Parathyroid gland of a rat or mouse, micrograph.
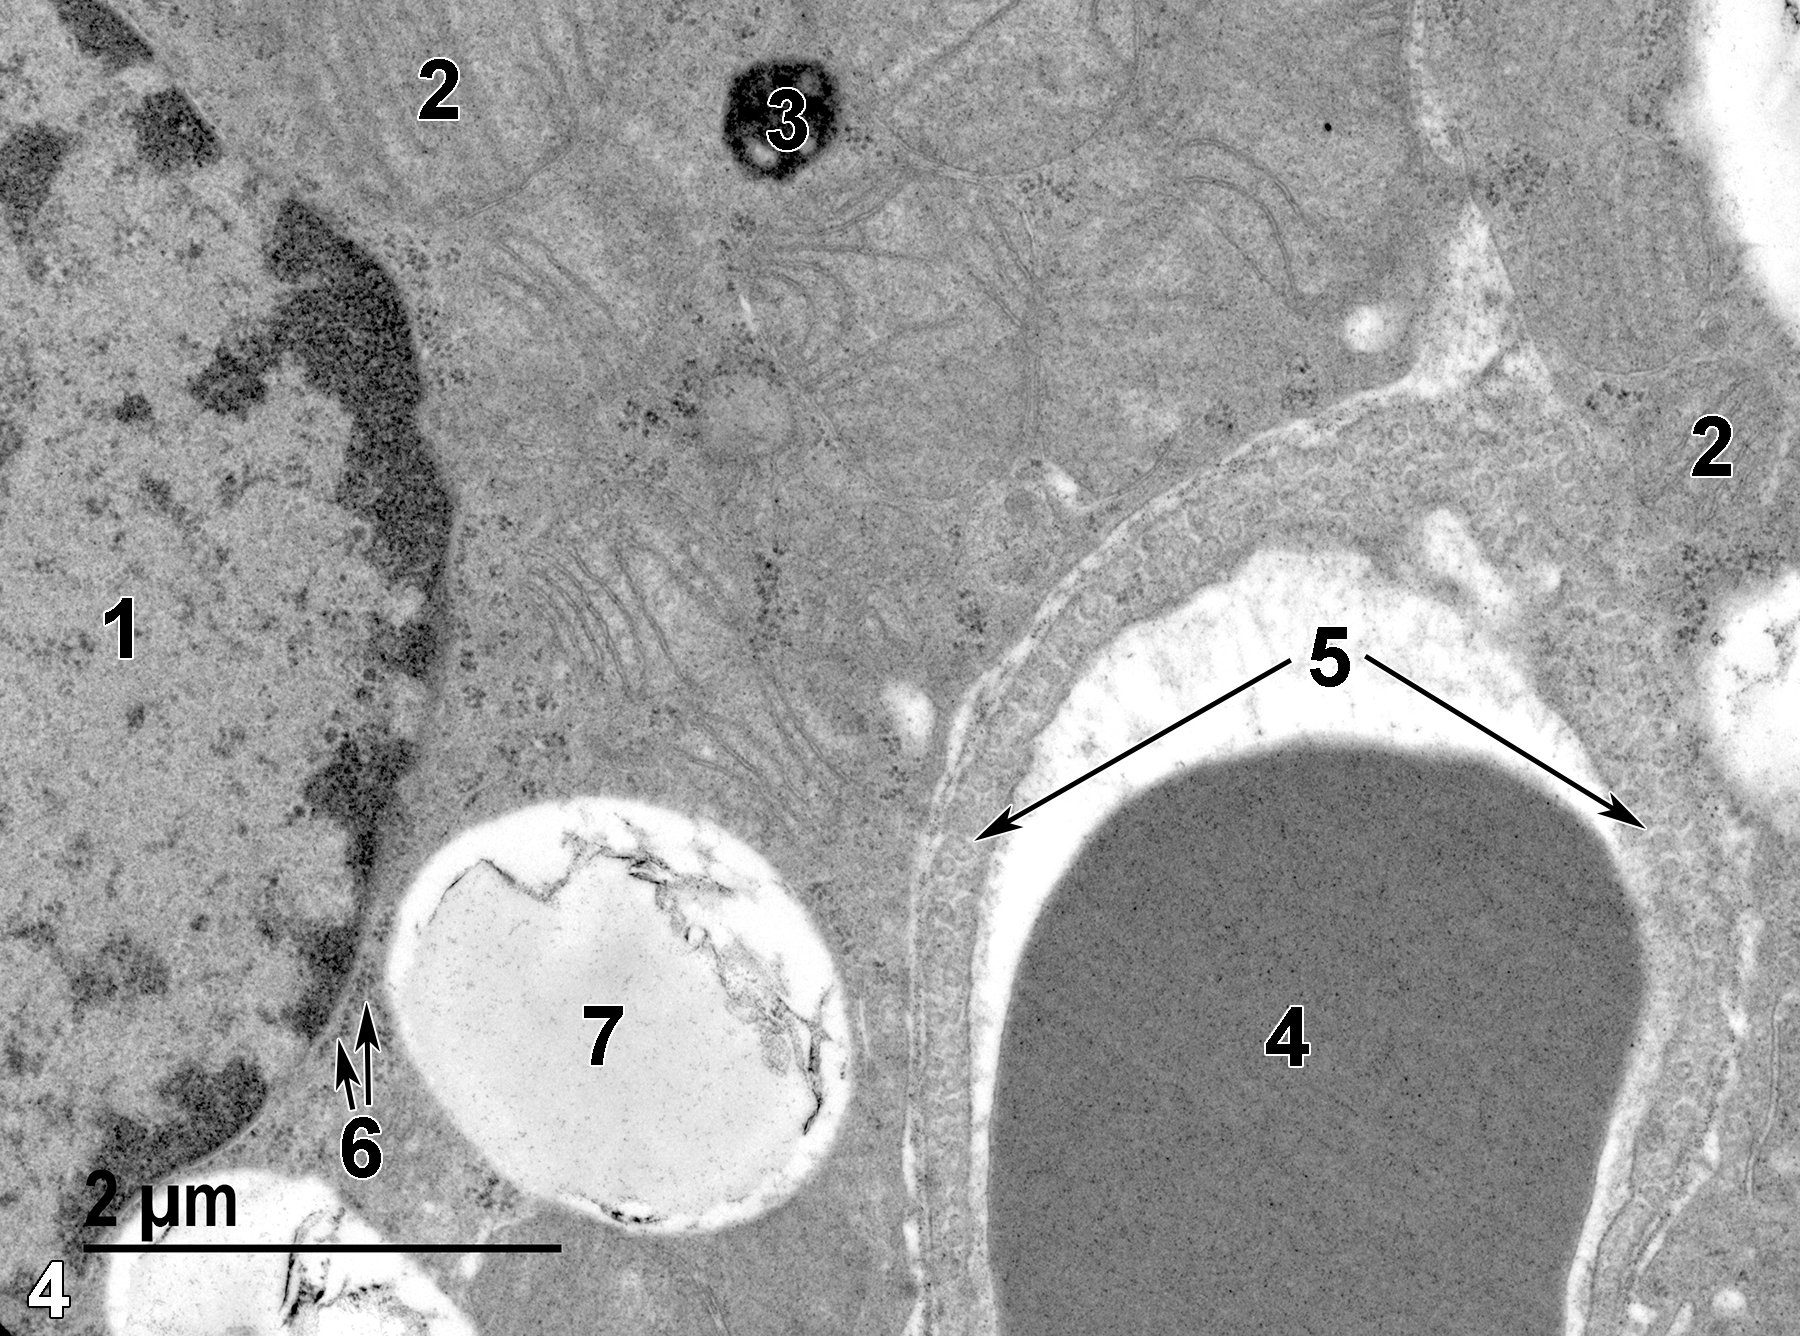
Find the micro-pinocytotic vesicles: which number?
5.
